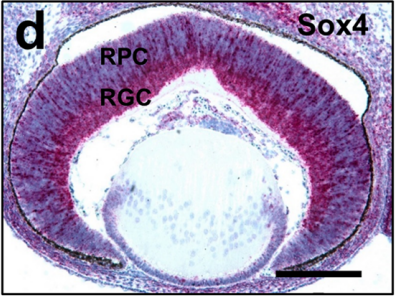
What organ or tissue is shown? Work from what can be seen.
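A thick cup-shaped layer of densely packed nuclei surrounds a round lens in the center. A thin dark pigmented line borders the outer edge of the cup. That points to this answer: retina.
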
